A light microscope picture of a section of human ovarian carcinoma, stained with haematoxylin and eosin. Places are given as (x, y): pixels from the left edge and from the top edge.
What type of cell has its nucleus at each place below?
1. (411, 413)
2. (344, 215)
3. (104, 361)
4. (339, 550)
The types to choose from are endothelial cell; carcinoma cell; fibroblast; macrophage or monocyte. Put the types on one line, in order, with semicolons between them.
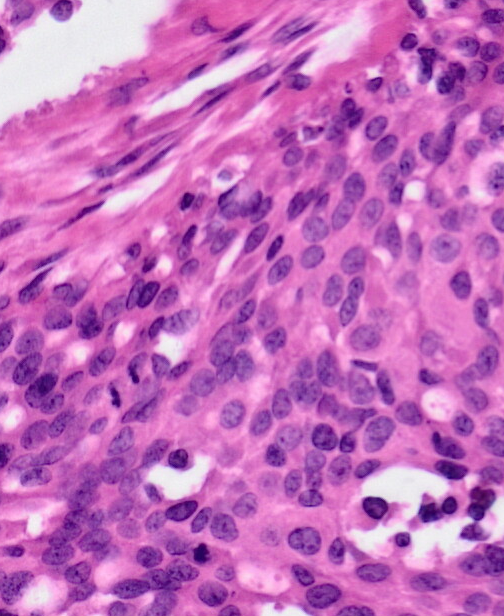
carcinoma cell; carcinoma cell; carcinoma cell; macrophage or monocyte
